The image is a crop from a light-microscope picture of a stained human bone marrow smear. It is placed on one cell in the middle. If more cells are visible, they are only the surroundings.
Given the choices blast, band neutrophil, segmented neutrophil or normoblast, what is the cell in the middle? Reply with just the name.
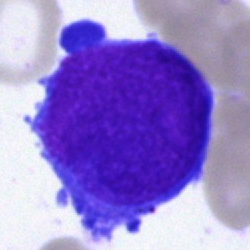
blast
